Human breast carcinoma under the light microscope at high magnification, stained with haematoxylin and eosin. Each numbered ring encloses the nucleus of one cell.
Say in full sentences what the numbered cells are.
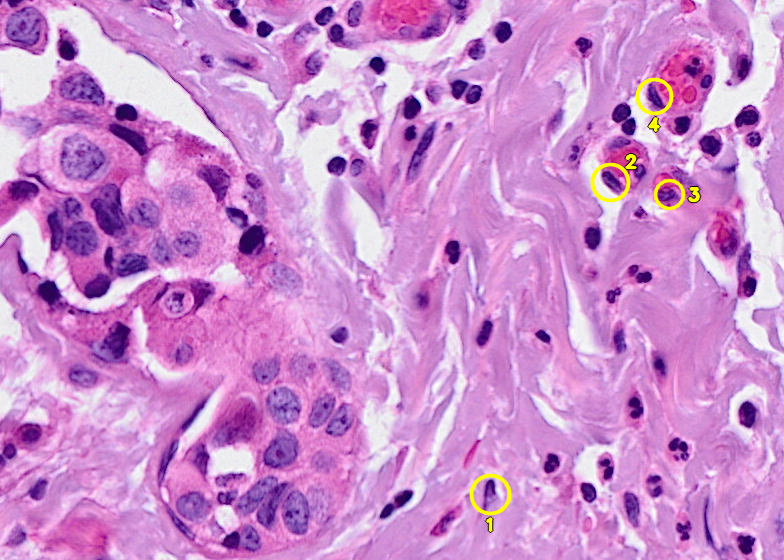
Cell 1 is a fibroblast. Cells 2, 3 and 4 are endothelial cells.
